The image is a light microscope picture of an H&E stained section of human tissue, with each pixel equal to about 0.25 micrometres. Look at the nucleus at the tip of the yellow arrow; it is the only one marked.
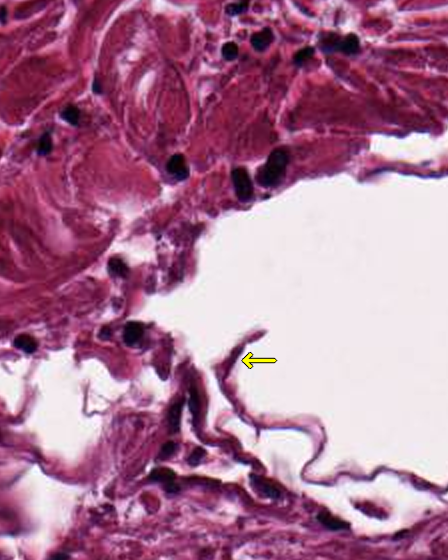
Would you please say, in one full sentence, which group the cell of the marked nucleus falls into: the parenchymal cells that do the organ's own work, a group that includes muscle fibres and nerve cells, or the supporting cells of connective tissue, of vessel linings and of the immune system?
It is in a supporting cell that the marked nucleus lies.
